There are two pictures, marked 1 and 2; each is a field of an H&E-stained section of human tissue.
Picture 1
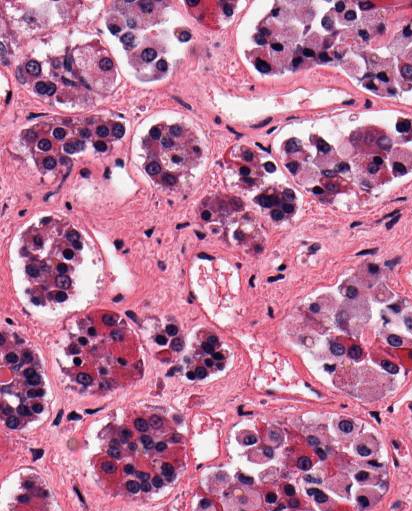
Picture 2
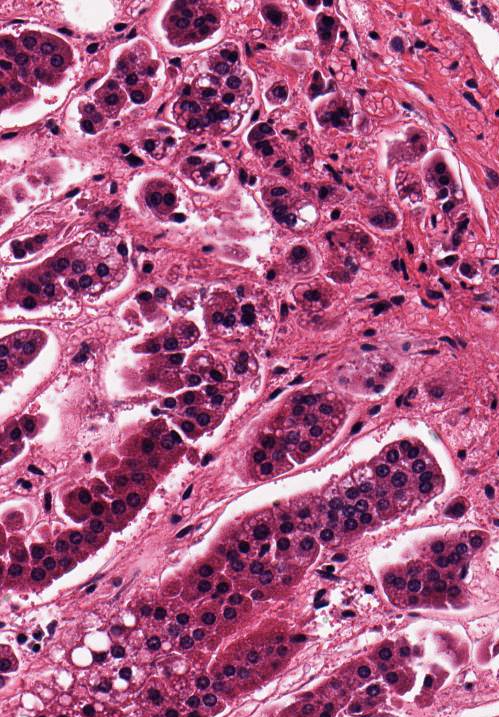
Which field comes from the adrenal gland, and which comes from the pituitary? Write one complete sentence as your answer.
Picture 1 comes from the pituitary; picture 2 comes from the adrenal gland.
